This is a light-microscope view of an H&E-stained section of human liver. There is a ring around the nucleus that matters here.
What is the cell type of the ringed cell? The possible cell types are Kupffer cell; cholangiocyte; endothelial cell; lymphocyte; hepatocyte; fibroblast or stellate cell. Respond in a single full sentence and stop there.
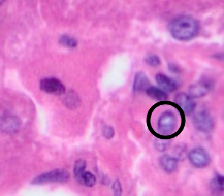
The identity of the ringed cell: it is a cholangiocyte.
